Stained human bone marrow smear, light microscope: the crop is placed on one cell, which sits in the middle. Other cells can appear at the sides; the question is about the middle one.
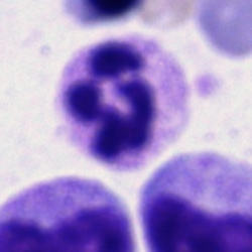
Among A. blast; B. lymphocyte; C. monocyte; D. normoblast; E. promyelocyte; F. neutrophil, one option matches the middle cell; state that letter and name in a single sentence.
The correct response is option F, naming the cell in the middle as a neutrophil.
